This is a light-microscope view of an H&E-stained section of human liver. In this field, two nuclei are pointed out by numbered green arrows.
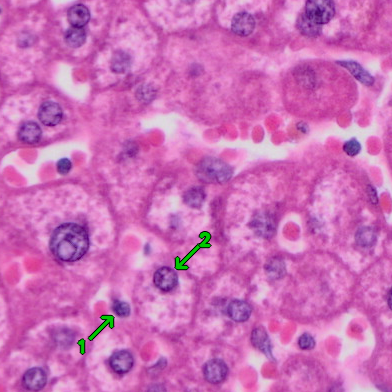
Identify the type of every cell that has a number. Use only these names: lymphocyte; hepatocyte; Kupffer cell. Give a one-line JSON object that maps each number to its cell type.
{"1": "lymphocyte", "2": "hepatocyte"}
